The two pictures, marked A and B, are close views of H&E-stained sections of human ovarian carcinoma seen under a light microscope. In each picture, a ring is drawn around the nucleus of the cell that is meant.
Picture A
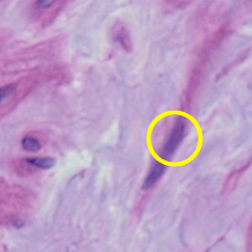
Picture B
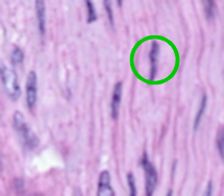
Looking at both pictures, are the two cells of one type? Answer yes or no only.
no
